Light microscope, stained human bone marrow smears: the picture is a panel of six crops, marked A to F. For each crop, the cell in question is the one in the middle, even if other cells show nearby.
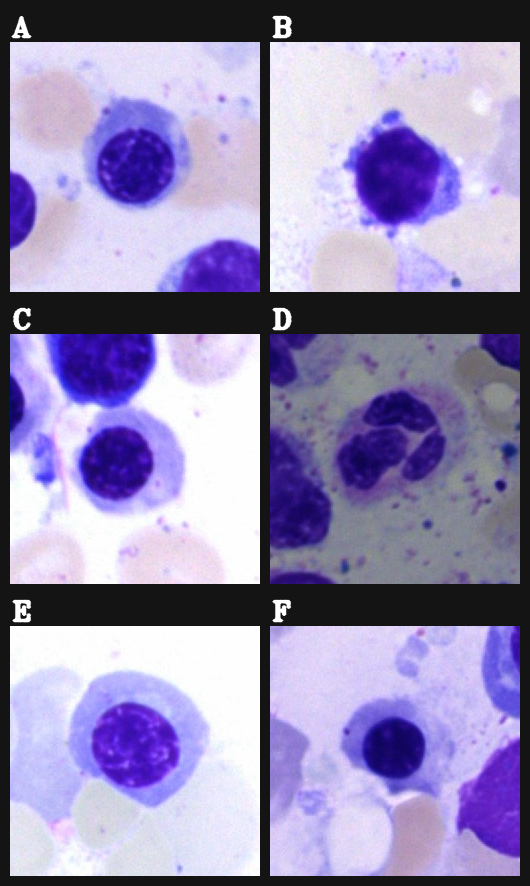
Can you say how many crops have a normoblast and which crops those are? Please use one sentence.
In the series, four crops show normoblasts, these being A, C, E and F.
